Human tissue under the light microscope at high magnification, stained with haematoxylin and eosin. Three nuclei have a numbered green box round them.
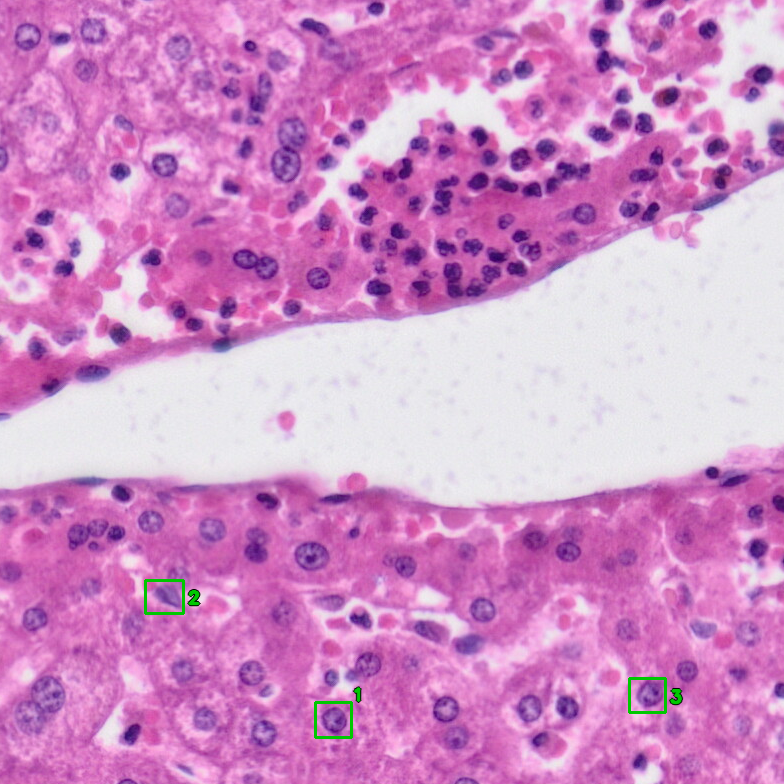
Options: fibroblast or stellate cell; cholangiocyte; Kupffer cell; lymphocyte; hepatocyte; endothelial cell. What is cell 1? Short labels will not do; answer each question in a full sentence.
Regarding cell 1, this one is a hepatocyte.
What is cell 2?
The nucleus with number 2 is that of an endothelial cell.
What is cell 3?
The cell tagged with 3 in this tissue section is a hepatocyte.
